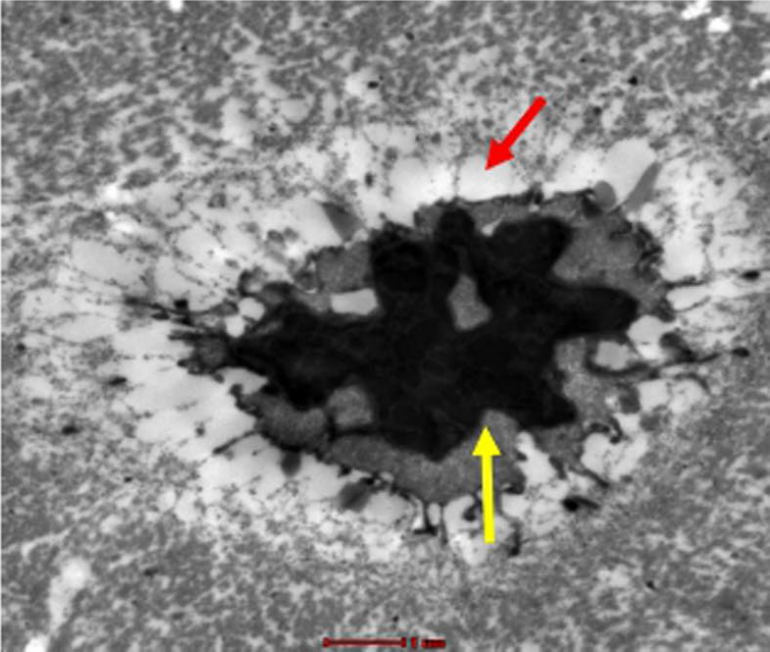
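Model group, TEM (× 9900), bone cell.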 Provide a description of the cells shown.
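At the centre lies a small, very dark, irregularly lobed mass of condensed nuclear material, rimmed by a narrower band of grey, dense cytoplasm. Around the cell is a wide pale halo of clear spaces crossed by thin radiating strands, so the edge of the cell looks vacuolated and torn away from the surrounding grey matrix.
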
